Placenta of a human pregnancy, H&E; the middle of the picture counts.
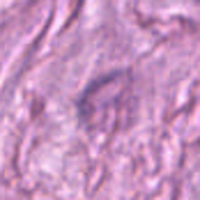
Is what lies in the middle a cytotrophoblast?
No, it is a maternal decidual cell.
